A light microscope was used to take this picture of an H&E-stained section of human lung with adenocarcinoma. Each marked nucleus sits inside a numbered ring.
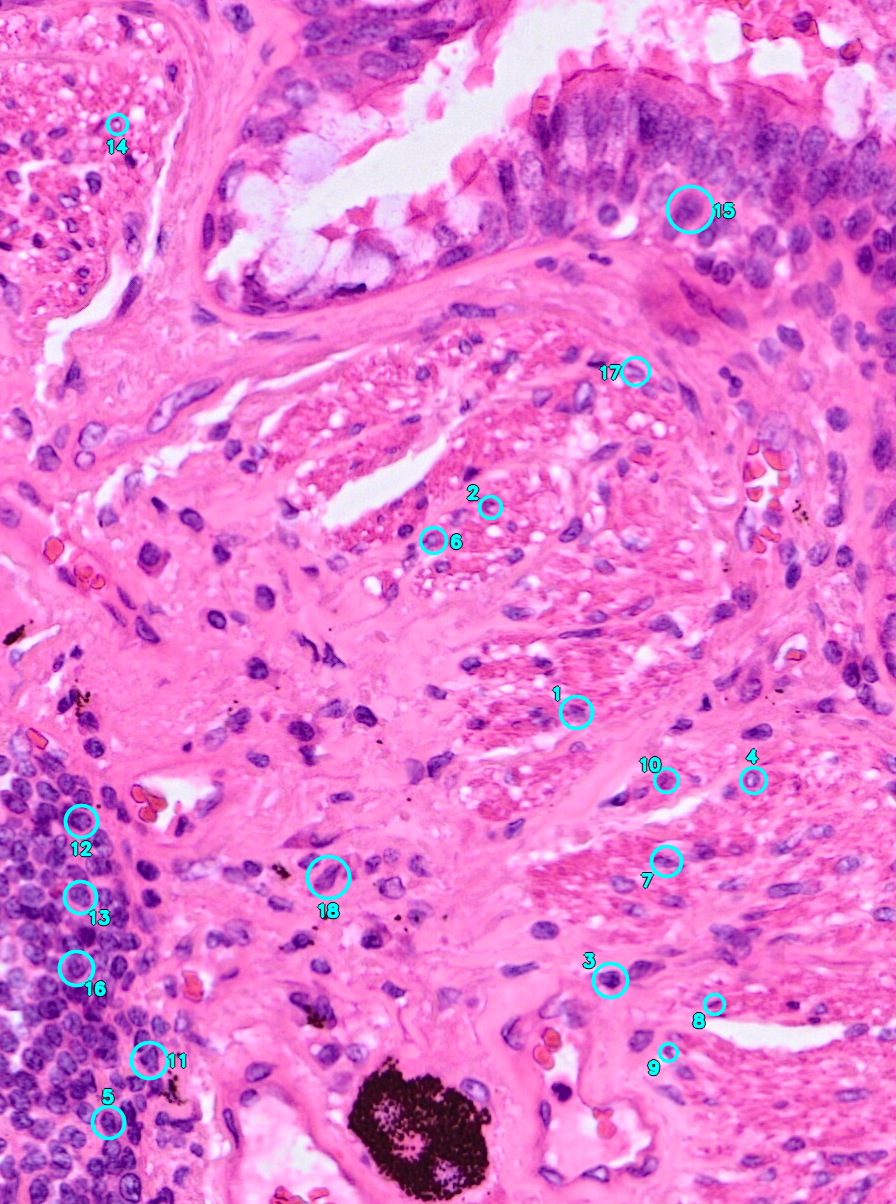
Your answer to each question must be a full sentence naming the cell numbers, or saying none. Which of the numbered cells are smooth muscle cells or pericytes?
The cells with the numbers 1, 2, 4, 6, 7, 8, 9, 10, 14 and 17 are smooth muscle cells or pericytes.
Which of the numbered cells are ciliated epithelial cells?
Only the cell carrying number 15 is a ciliated epithelial cell.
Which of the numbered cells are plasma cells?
The numbered cells include exactly one that is a plasma cell, which is cell 18.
